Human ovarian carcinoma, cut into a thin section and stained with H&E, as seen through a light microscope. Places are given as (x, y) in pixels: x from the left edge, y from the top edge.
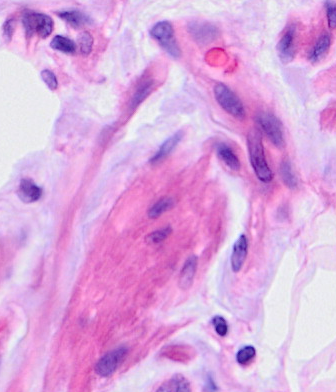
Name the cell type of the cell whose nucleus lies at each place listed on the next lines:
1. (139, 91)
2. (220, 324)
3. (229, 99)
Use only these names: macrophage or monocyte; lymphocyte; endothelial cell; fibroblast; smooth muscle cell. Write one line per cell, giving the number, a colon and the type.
1: smooth muscle cell
2: lymphocyte
3: endothelial cell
